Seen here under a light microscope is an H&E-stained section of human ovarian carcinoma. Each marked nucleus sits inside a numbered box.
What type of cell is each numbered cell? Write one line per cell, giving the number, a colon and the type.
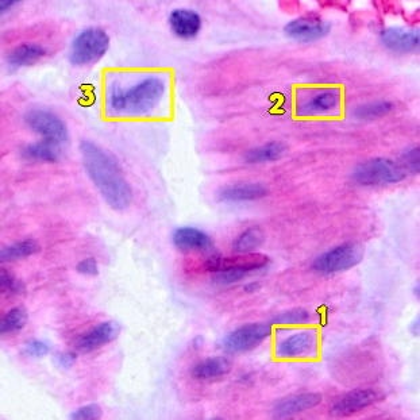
1: smooth muscle cell
2: smooth muscle cell
3: fibroblast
